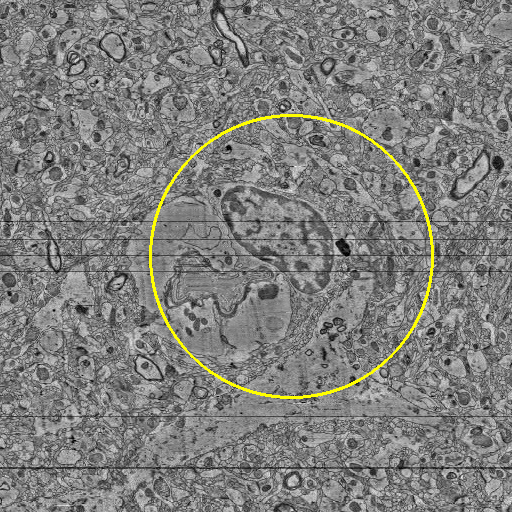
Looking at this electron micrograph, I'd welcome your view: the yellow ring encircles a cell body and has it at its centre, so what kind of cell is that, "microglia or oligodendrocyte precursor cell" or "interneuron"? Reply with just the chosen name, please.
microglia or oligodendrocyte precursor cell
